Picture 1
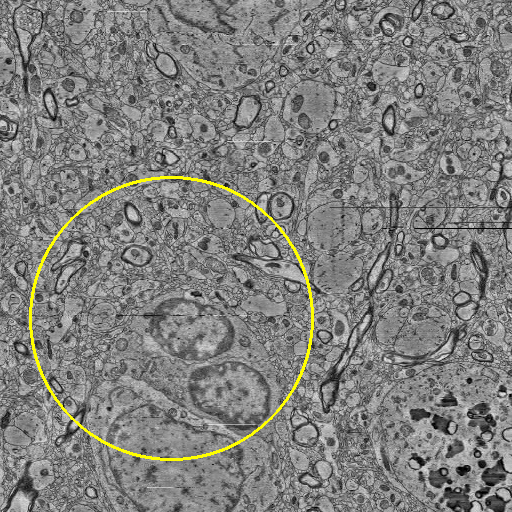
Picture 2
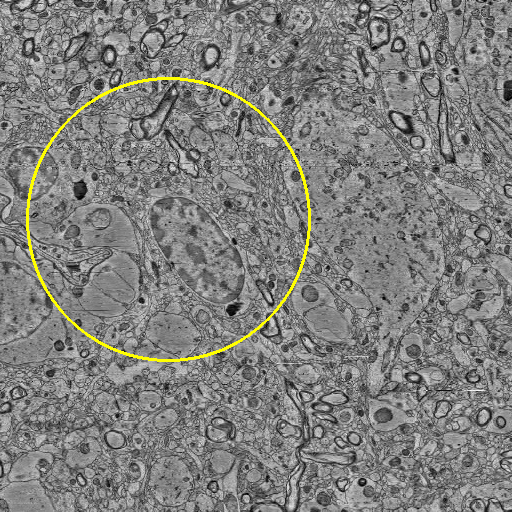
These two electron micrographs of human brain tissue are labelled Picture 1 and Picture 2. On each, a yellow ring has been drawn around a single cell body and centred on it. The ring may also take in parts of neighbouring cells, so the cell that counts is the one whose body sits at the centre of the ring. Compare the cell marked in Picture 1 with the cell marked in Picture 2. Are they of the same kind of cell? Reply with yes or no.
no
